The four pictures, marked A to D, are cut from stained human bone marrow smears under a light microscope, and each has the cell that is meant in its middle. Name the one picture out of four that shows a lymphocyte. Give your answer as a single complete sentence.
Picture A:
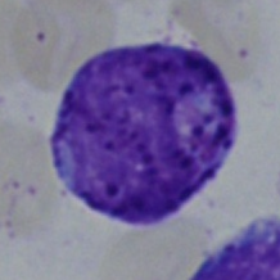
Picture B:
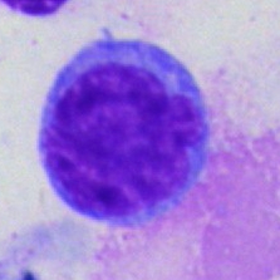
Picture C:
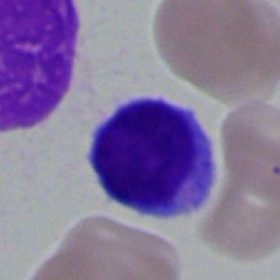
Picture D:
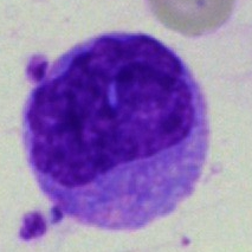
The cell in picture C is the lymphocyte.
